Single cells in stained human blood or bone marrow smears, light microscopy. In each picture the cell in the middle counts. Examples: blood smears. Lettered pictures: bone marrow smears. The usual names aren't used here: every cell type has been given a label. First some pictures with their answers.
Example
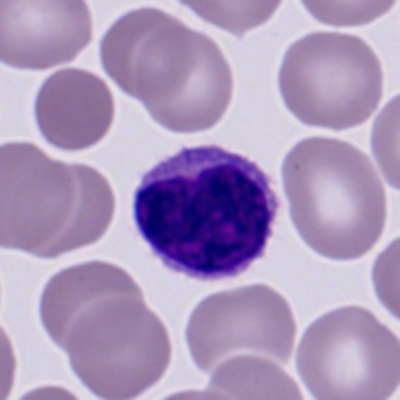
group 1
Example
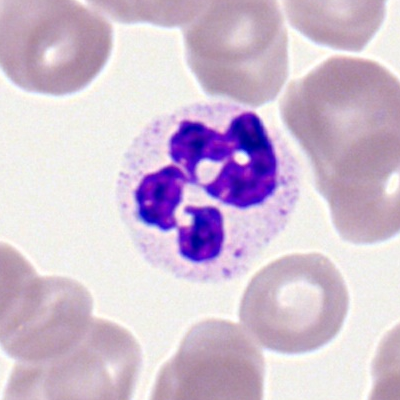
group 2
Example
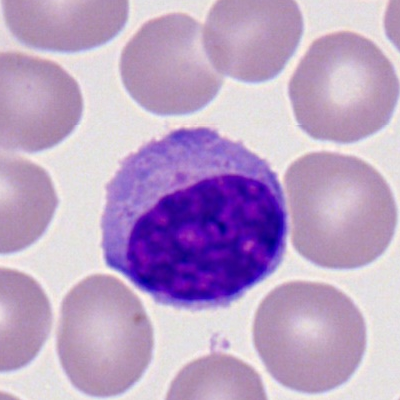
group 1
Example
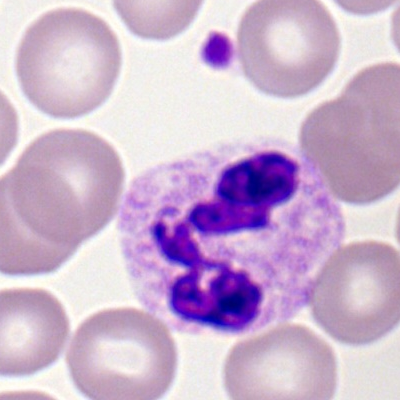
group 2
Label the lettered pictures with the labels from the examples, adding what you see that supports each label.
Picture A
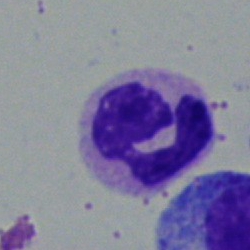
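Answer: group 2. The nucleus is a thick curved band bent into a horseshoe shape around a pale central gap.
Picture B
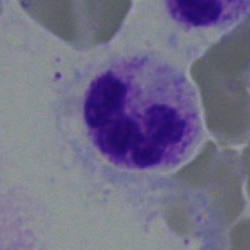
Answer: group 2. The nucleus is curved into a horseshoe shape with a notch opening upward.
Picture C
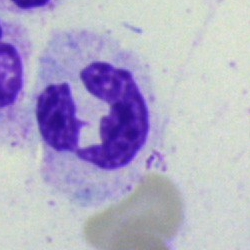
Answer: group 2. The cytoplasm is plentiful and pale greyish-lilac.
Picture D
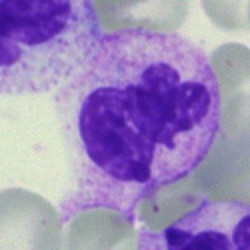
Answer: group 2. The cytoplasm is abundant and pale pink-lilac.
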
